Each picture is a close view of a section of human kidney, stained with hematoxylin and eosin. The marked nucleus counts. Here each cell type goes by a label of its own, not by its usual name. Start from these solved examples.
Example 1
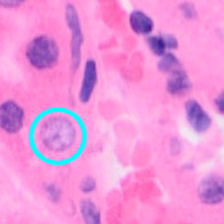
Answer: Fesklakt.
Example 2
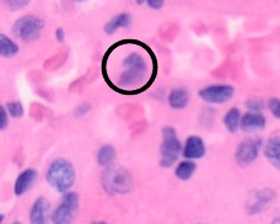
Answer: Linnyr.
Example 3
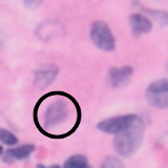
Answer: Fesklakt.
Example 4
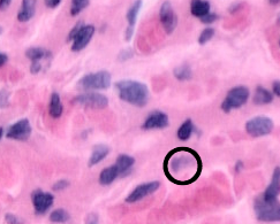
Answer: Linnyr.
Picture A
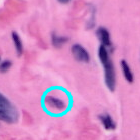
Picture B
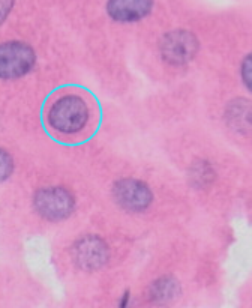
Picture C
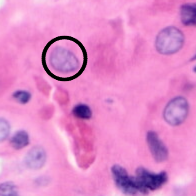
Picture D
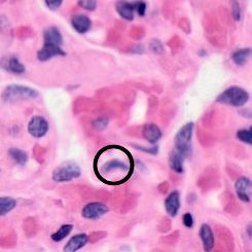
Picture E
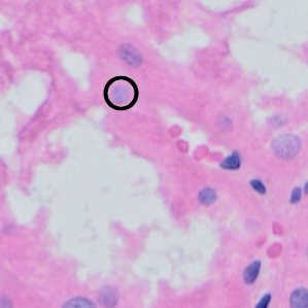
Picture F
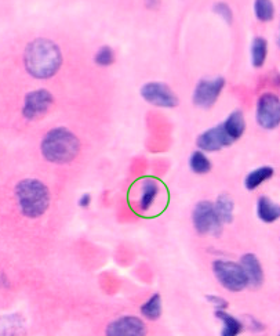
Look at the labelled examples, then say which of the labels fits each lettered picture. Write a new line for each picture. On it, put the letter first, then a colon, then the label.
A: Linnyr.
B: Fesklakt.
C: Fesklakt.
D: Linnyr.
E: Fesklakt.
F: Linnyr.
